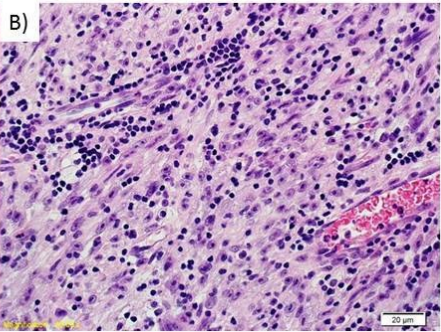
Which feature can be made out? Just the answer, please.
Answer: blood vessels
